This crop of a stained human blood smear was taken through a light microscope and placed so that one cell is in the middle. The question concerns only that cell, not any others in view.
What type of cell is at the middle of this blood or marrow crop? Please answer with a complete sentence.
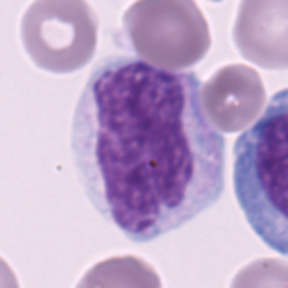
The central cell in this smear crop is a myelocyte.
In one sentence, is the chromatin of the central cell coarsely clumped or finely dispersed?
What stands out is chromatin that is coarsely clumped.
